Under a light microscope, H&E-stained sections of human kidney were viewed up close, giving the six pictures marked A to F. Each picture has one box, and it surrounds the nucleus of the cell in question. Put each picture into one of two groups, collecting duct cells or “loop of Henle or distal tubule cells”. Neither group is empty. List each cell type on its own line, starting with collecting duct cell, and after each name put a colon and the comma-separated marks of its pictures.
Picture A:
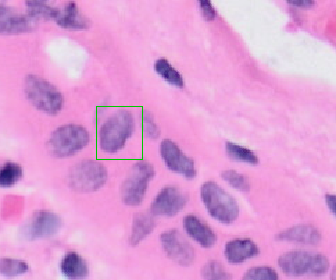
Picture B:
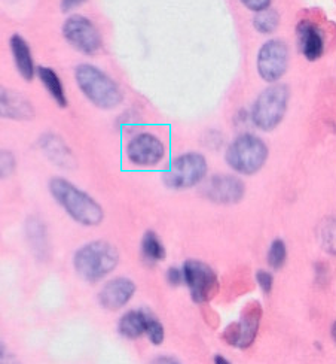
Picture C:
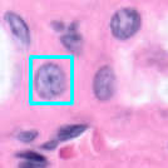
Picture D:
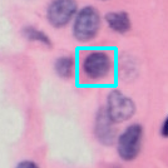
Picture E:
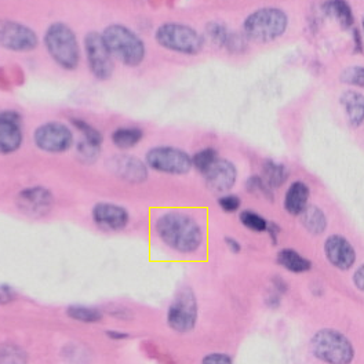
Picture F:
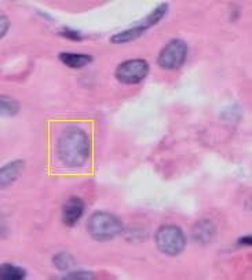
collecting duct cell: A, B, D
loop of Henle or distal tubule cell: C, E, F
